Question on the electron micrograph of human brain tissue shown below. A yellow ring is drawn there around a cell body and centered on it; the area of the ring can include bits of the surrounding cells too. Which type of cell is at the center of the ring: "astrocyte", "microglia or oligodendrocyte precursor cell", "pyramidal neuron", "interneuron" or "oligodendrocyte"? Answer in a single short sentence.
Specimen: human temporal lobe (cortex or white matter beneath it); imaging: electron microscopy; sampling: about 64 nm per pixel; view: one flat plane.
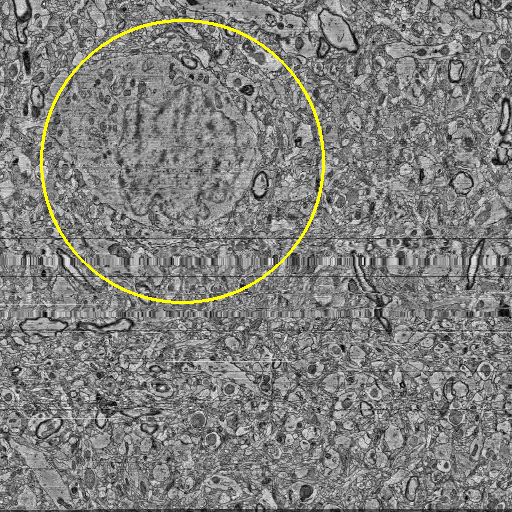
The ring is centered on an interneuron.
